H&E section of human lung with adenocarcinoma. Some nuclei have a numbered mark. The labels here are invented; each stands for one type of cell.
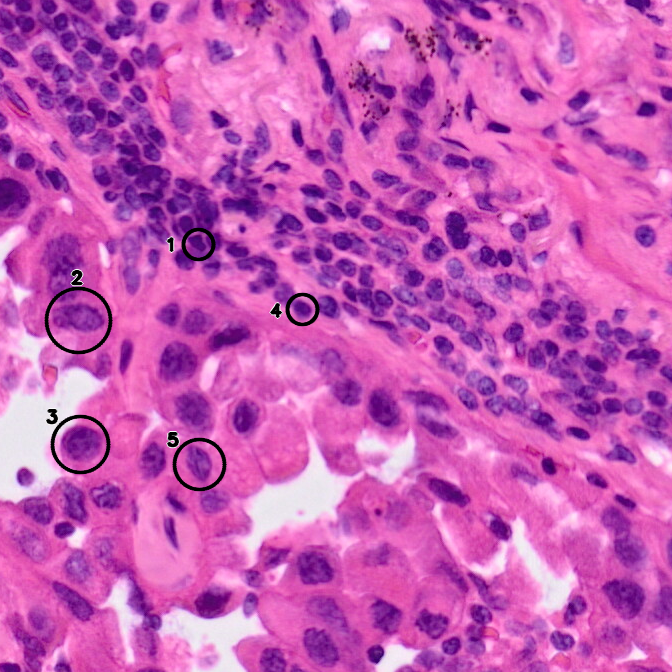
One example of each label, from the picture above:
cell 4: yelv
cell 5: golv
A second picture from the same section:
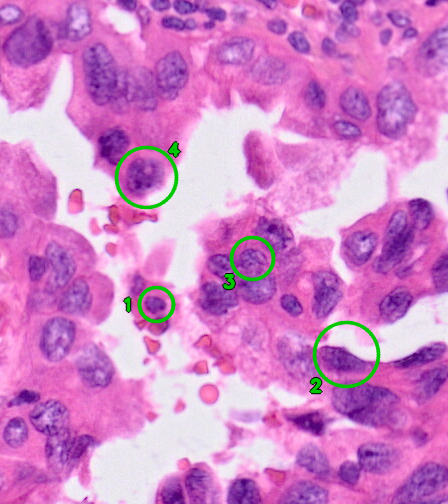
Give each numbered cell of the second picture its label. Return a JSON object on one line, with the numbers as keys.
{"1": "yelv", "2": "golv", "3": "golv", "4": "golv"}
